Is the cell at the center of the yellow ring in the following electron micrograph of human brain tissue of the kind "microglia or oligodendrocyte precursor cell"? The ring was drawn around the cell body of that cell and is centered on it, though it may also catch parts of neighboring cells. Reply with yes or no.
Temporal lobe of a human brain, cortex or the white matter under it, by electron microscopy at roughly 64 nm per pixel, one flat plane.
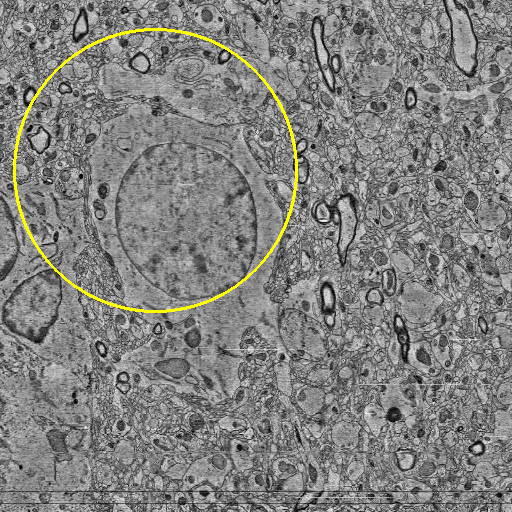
No, it is of another kind.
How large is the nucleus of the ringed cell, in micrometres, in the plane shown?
Roughly 10 by 9 micrometres is the size of the nucleus in this plane.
